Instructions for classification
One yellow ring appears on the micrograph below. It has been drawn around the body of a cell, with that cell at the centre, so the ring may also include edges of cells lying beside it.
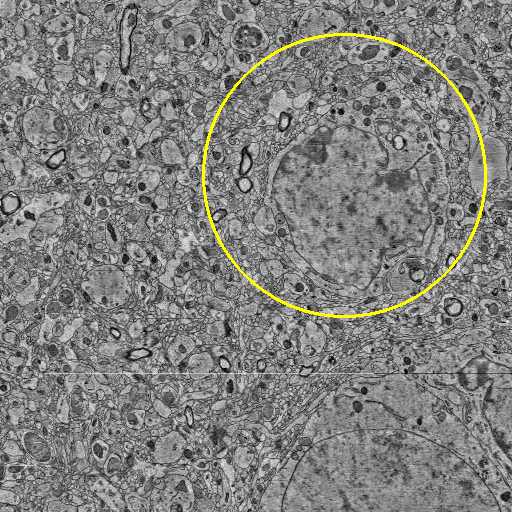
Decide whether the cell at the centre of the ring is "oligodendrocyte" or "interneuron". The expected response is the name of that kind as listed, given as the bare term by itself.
interneuron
